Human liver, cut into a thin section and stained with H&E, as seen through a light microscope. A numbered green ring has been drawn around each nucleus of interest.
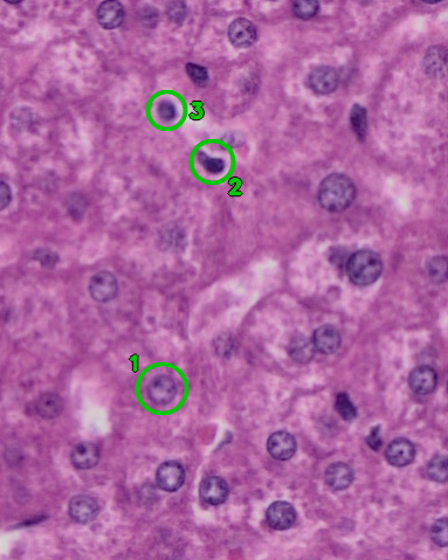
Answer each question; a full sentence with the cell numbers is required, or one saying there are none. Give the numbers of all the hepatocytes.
Only the cell with number 1 is a hepatocyte.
